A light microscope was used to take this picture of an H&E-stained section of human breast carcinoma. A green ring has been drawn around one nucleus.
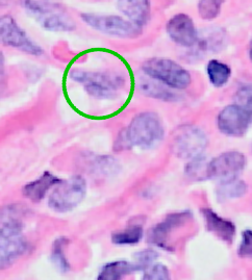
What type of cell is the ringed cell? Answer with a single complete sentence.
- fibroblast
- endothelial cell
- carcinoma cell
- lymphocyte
Cytologically, the ringed cell is to be regarded as an endothelial cell.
